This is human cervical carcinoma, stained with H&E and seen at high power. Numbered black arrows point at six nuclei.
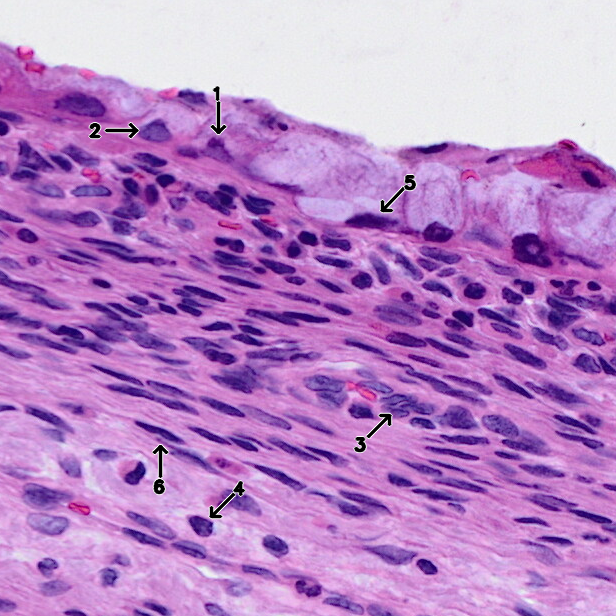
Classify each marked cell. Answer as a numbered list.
1. secretory epithelial cell
2. secretory epithelial cell
3. endothelial cell
4. lymphocyte
5. secretory epithelial cell
6. fibroblast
